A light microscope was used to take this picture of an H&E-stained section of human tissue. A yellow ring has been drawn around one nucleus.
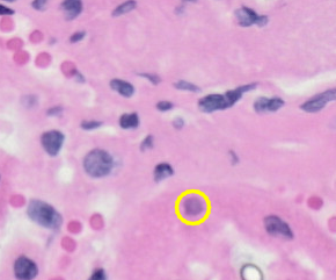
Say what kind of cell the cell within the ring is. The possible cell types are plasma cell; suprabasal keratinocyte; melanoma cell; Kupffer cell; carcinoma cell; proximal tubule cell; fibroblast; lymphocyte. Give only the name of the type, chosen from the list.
proximal tubule cell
